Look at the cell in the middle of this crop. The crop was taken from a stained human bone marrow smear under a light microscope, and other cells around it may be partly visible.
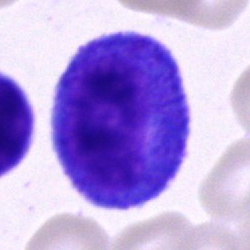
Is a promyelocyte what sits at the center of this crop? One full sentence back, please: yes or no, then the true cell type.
Yes, the cell centred in this crop is a promyelocyte.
